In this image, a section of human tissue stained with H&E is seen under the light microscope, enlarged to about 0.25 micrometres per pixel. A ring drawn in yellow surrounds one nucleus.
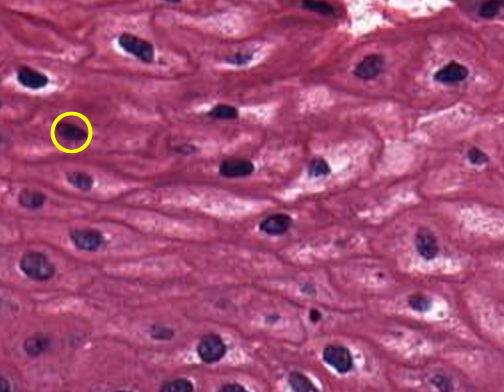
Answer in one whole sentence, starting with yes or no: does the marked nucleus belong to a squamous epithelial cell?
Yes, it is the nucleus of a squamous epithelial cell that has been marked.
